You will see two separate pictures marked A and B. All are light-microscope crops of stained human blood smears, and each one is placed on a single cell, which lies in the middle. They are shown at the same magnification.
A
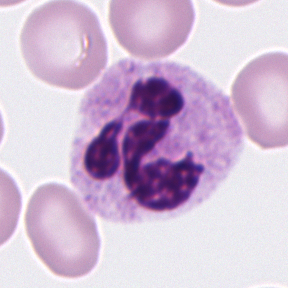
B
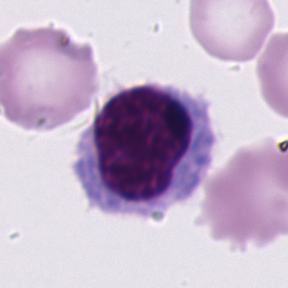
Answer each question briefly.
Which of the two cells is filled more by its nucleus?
B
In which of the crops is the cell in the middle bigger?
A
